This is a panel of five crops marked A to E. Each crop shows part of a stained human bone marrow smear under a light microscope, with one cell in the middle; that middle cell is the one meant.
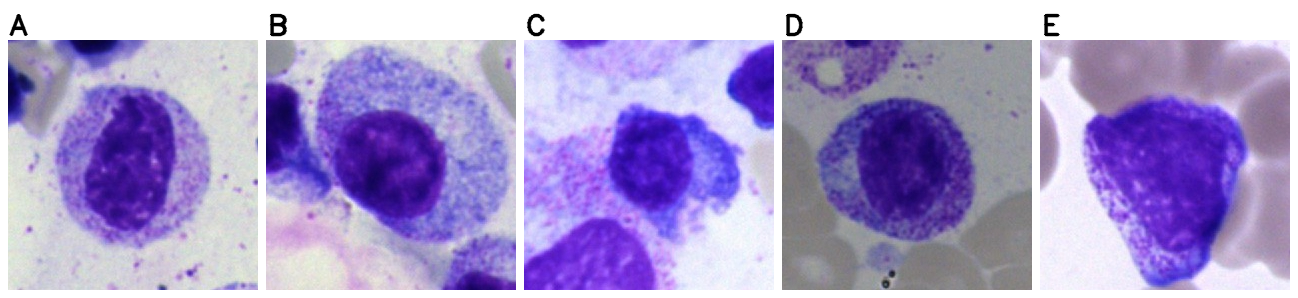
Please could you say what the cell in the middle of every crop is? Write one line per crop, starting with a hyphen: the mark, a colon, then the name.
- A: myelocyte
- B: promyelocyte
- C: plasma cell
- D: myelocyte
- E: promyelocyte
